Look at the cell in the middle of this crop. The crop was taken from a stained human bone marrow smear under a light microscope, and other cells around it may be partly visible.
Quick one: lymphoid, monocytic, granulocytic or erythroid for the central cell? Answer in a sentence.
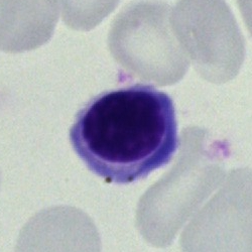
The middle cell is placed in the erythroid lineage.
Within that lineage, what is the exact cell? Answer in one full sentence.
The center cell of this crop is an erythroblast.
